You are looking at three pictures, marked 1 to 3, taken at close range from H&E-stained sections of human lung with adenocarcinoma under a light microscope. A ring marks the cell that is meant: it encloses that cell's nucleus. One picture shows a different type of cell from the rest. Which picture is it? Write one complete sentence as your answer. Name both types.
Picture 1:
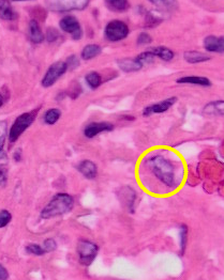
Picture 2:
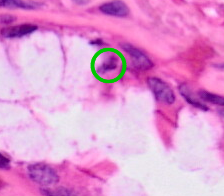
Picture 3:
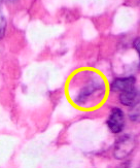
Picture 1 is the odd one out: it shows an endothelial cell, while the others show ciliated epithelial cells.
